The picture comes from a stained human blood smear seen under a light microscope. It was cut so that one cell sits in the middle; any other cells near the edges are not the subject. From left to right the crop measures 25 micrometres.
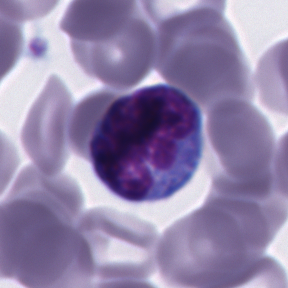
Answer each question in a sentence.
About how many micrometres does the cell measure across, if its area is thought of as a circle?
It measures about 11 micrometres across.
